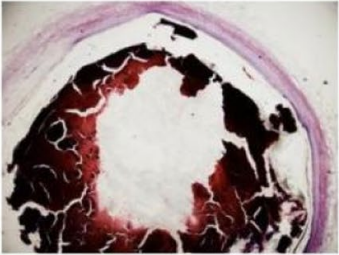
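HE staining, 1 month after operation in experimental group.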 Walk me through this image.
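Cross-section of a vessel whose lumen is largely occupied by thrombus. The thrombus is dark red to brown-black, cracked, with a pale central area. The wall is a thin layered pink-purple band around it.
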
